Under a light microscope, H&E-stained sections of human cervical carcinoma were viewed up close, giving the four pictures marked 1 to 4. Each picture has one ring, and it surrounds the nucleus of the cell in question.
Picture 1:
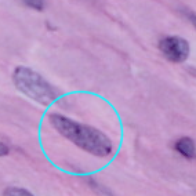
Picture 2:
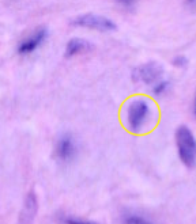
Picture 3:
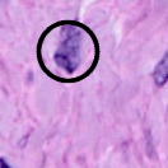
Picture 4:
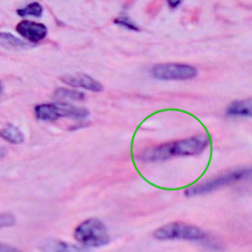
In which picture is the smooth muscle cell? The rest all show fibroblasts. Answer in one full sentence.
The picture with the smooth muscle cell is 4.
